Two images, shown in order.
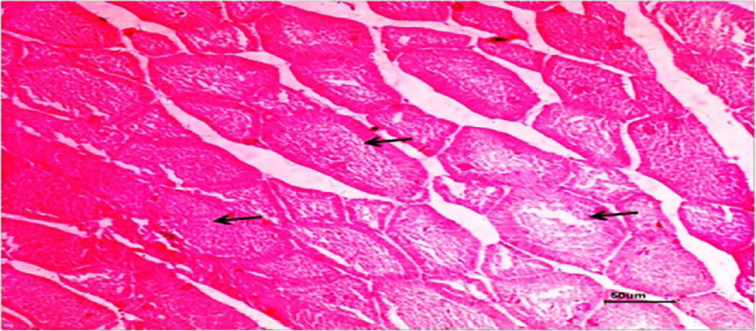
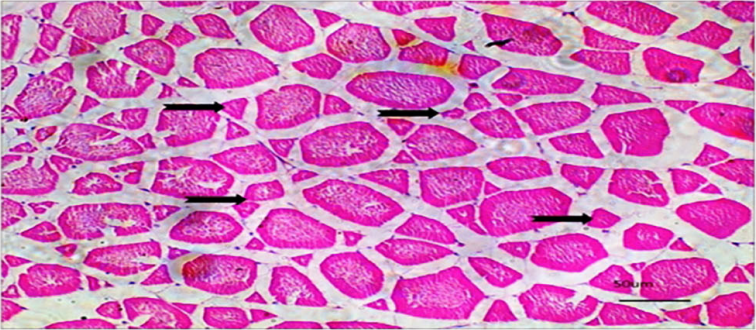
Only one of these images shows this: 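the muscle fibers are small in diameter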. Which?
The second image.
